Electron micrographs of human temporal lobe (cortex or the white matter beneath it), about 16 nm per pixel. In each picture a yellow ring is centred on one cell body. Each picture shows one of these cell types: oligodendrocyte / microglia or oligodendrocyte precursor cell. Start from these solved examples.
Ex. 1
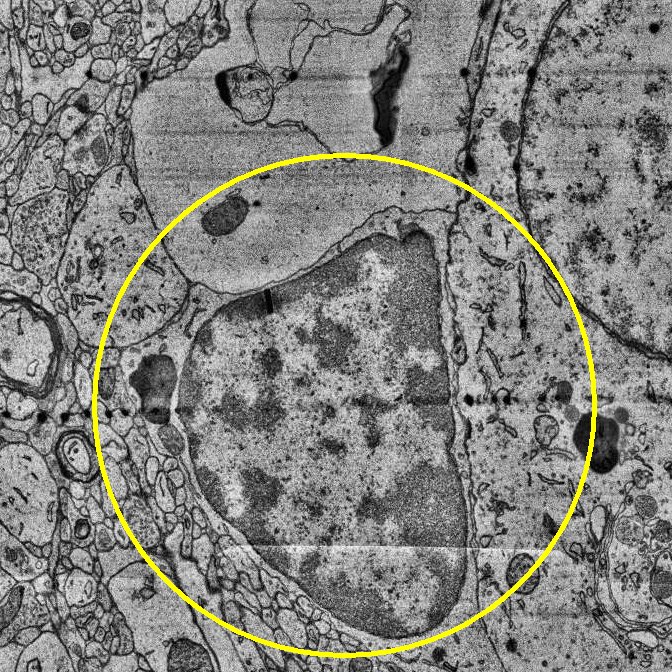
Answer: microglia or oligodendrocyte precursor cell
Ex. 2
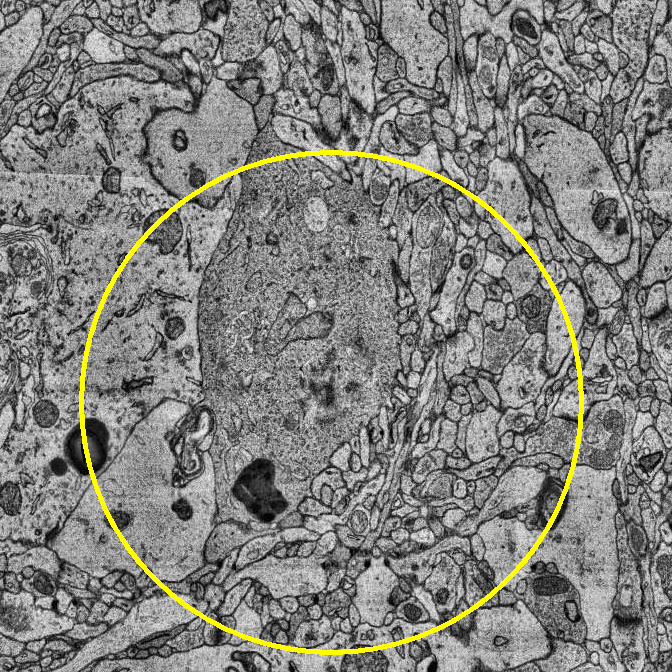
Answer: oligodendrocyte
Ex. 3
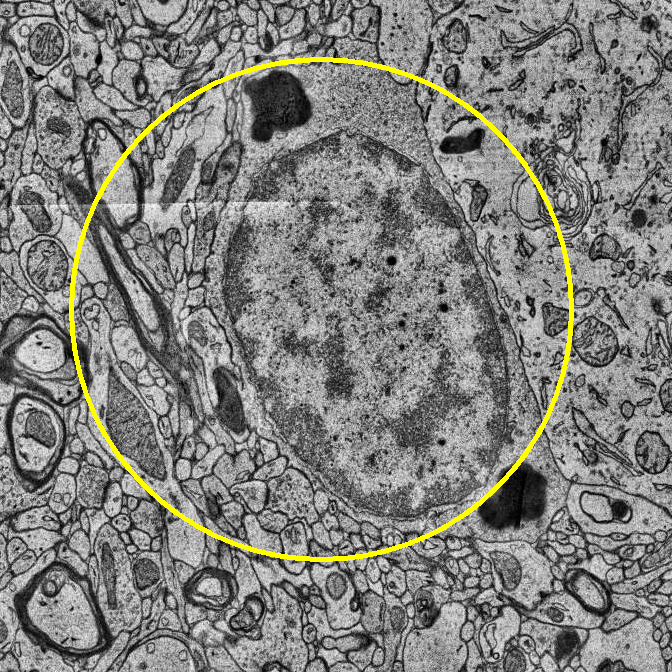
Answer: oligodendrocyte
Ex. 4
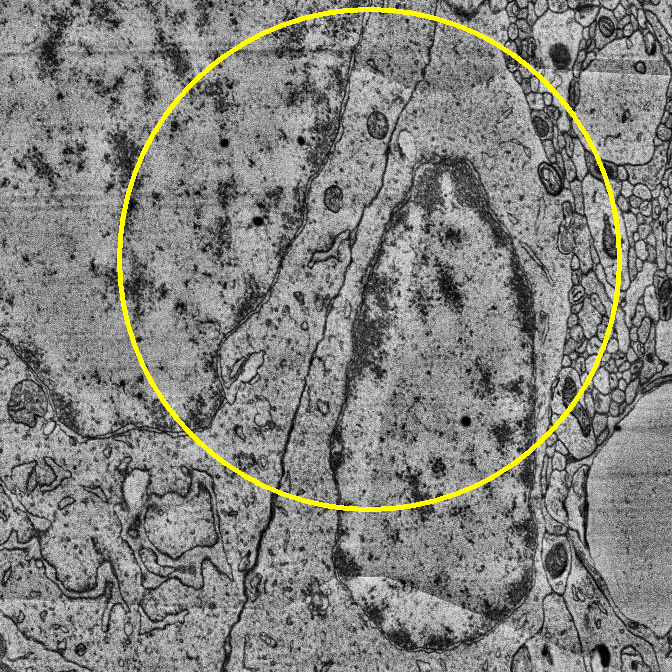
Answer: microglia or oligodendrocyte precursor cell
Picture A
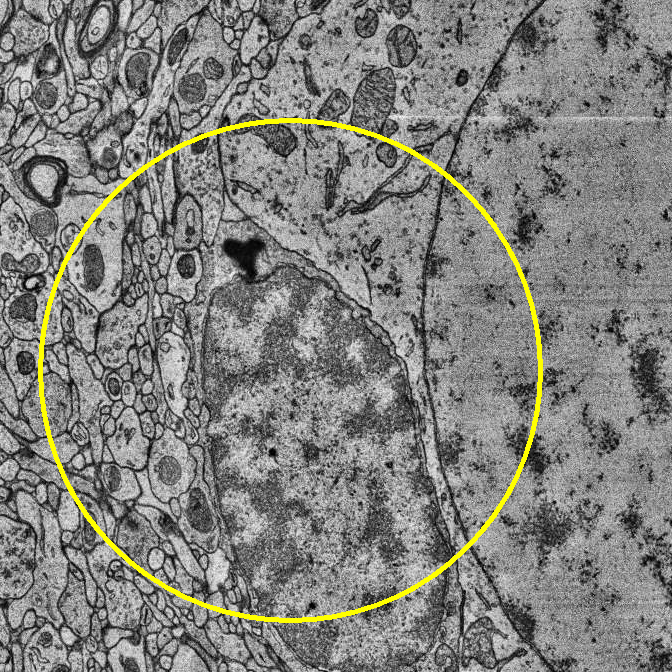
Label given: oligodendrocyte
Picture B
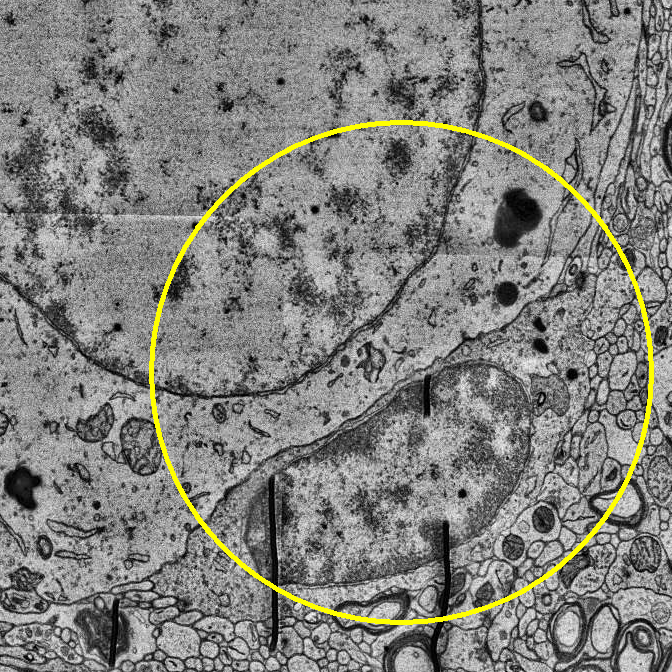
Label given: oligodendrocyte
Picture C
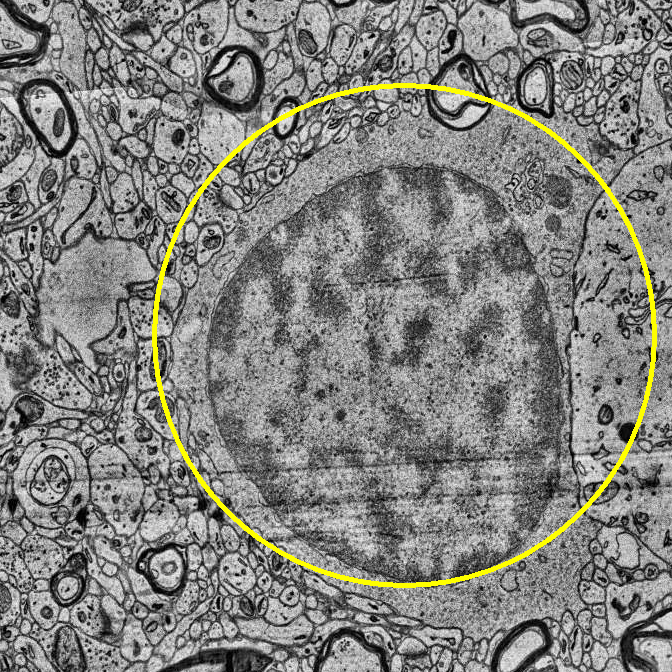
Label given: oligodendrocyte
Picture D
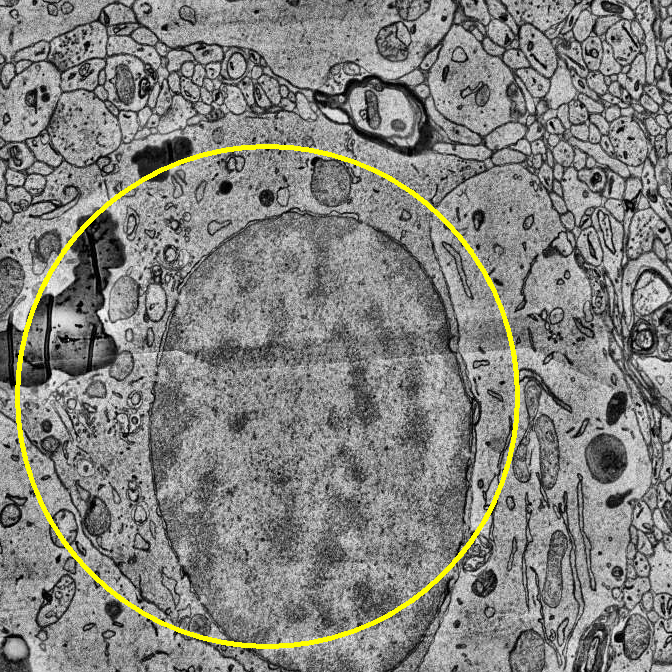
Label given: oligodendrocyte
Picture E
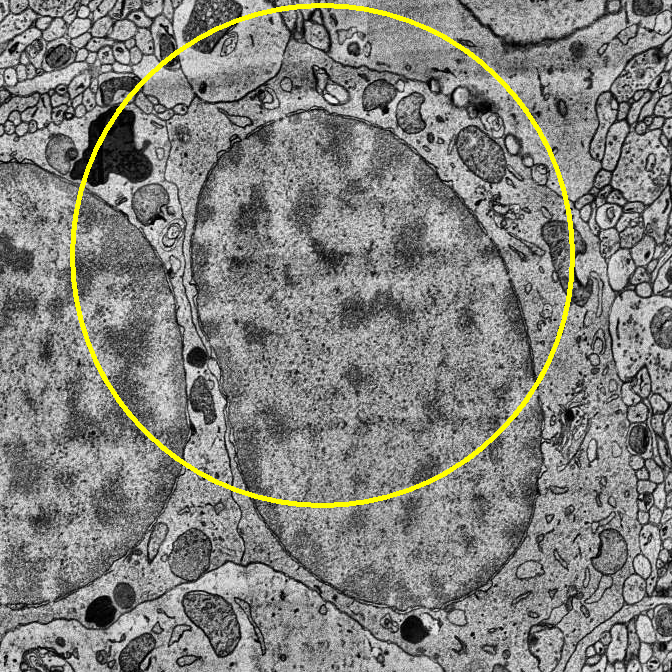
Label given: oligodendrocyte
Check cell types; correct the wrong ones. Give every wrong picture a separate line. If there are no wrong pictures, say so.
None of the labels needs changing.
